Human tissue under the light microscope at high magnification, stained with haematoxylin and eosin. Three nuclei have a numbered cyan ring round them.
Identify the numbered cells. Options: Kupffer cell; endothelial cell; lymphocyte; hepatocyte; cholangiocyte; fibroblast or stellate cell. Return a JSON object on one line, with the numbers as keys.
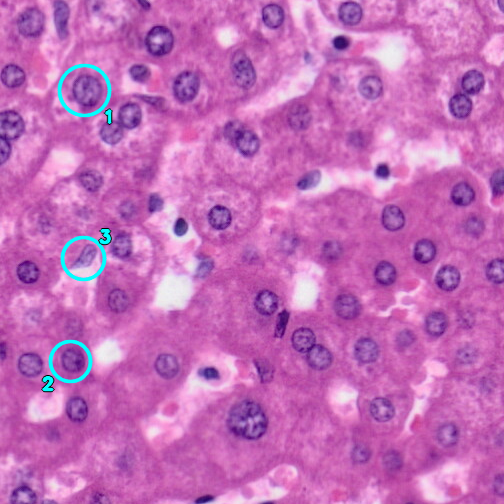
{"1": "hepatocyte", "2": "hepatocyte", "3": "endothelial cell"}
